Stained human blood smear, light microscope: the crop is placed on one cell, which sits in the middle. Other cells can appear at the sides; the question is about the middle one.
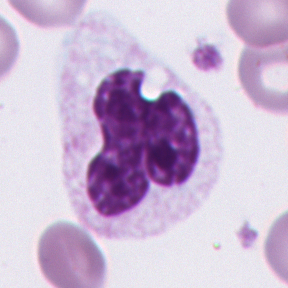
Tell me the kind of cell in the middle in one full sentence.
As for the cell in the middle, it is a segmented neutrophil.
